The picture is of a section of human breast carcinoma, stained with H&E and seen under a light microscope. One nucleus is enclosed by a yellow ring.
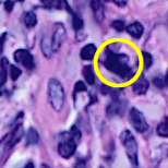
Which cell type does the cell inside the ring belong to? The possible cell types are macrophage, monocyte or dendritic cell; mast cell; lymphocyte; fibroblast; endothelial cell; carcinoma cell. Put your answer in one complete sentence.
It is as a lymphocyte that the cell inside the ring is recorded.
